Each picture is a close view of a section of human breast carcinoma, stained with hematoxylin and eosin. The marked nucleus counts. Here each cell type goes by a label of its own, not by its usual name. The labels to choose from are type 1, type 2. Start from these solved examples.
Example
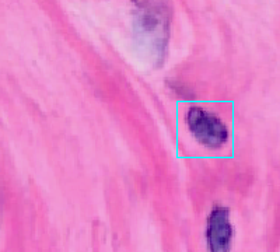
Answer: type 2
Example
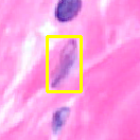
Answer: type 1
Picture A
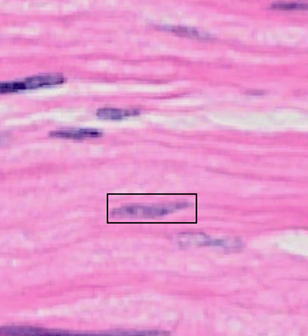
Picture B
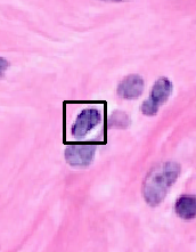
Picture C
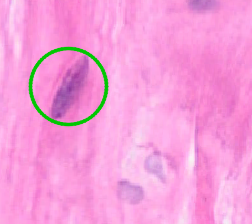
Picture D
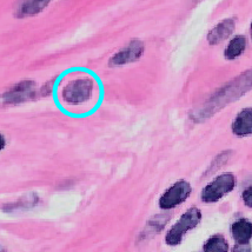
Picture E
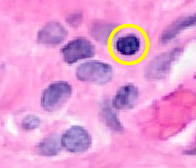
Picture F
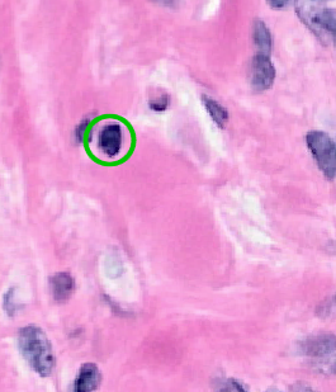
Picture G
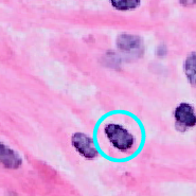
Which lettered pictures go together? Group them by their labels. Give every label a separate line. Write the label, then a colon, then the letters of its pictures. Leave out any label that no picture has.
type 1: A, C
type 2: B, D, E, F, G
